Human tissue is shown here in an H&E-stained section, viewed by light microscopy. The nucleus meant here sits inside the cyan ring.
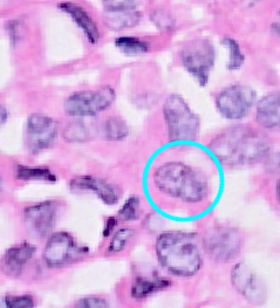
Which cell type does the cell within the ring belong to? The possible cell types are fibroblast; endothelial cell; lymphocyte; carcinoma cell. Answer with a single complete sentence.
The identity of the cell within the ring is that of a carcinoma cell.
